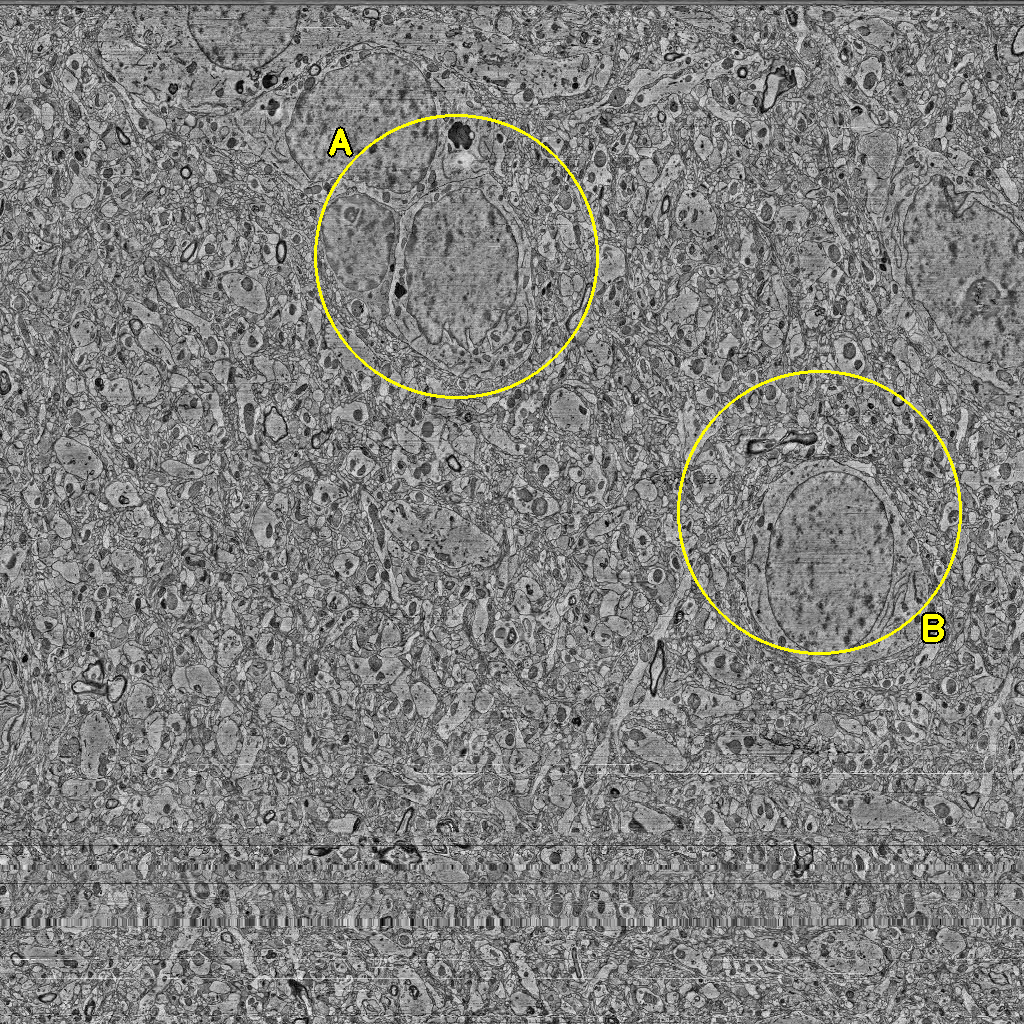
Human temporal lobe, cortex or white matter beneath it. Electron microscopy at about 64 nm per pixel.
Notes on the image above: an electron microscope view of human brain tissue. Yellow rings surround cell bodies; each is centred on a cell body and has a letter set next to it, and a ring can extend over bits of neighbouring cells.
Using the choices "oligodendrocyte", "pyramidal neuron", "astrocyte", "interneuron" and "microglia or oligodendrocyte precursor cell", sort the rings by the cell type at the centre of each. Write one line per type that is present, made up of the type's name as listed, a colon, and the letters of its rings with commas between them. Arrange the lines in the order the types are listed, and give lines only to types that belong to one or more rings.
pyramidal neuron: B
interneuron: A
